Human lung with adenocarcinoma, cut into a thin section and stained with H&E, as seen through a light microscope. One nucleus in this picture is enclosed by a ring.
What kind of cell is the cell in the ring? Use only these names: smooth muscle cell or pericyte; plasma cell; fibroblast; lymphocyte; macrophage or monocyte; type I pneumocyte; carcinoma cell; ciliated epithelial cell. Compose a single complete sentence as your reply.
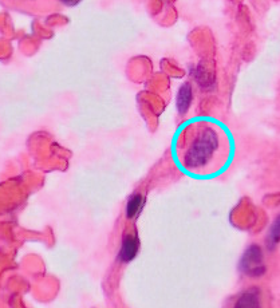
The category to which the cell in the ring belongs is that of a type I pneumocyte.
